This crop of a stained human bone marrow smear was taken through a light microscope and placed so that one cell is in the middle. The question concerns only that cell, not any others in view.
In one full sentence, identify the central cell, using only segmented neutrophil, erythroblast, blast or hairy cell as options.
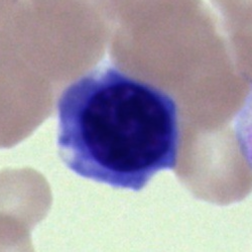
Within this crop, an erythroblast occupies the central position.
